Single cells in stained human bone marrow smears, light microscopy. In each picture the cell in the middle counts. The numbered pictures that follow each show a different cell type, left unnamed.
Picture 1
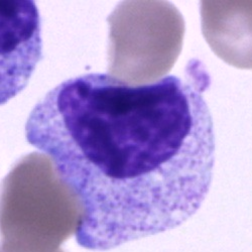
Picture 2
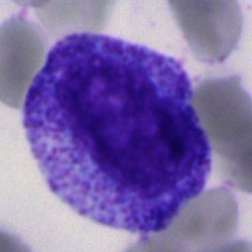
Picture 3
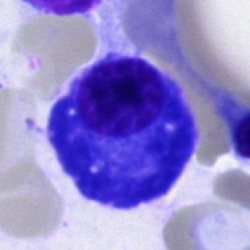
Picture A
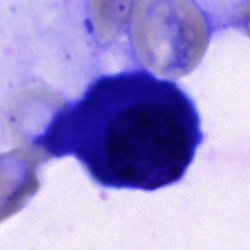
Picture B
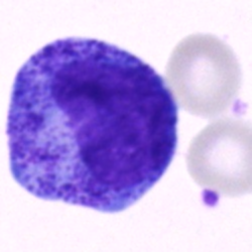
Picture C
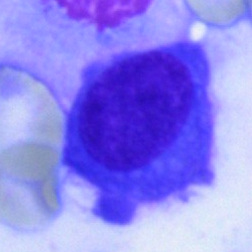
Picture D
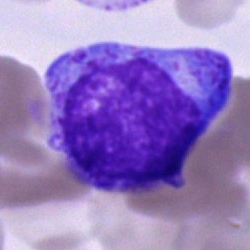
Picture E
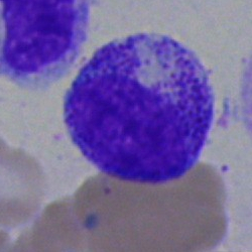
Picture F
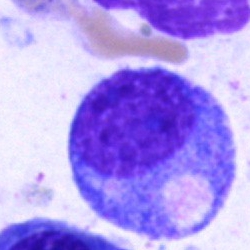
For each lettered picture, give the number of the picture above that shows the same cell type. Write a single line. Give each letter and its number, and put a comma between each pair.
A 3, B 2, C 3, D 2, E 1, F 2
